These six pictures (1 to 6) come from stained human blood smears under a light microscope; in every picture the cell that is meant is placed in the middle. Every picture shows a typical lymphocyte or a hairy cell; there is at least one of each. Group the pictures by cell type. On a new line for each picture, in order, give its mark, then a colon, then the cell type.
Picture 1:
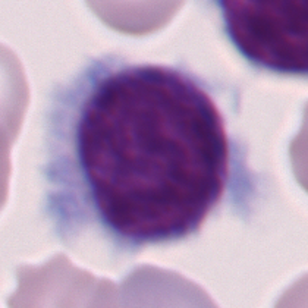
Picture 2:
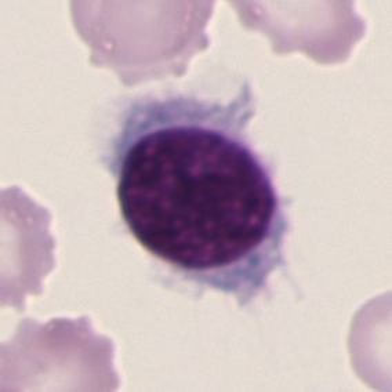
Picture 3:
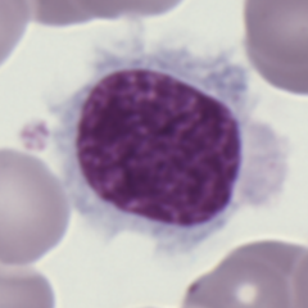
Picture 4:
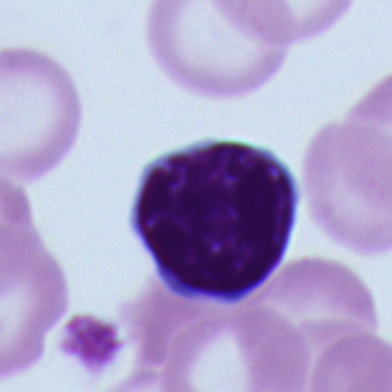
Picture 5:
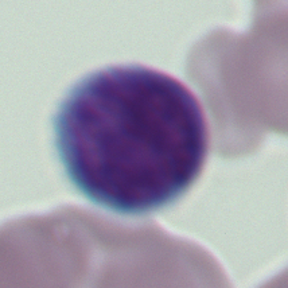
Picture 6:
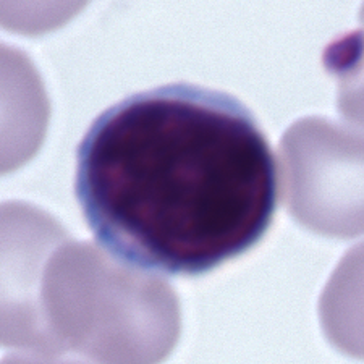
1: hairy cell
2: hairy cell
3: hairy cell
4: typical lymphocyte
5: typical lymphocyte
6: typical lymphocyte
